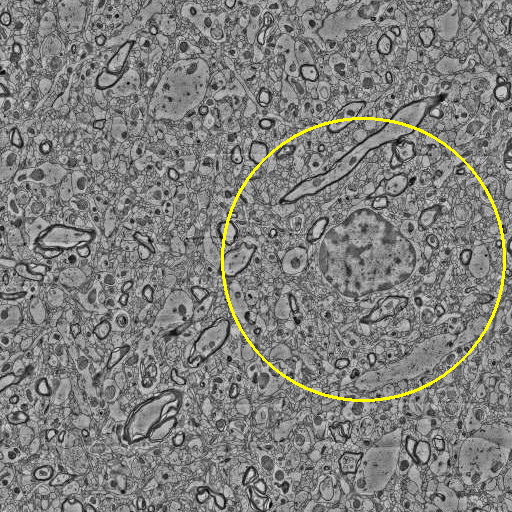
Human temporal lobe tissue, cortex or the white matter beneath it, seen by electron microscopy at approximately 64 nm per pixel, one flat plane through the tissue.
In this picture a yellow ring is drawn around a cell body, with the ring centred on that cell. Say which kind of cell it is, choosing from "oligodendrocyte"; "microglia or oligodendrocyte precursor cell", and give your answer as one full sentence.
Here it is a microglial cell or oligodendrocyte precursor cell that sits at the centre of the drawn yellow ring.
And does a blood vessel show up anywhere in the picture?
No, the image shows no blood vessel.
